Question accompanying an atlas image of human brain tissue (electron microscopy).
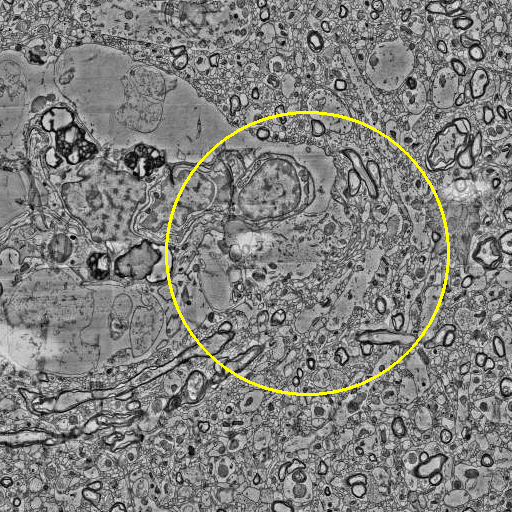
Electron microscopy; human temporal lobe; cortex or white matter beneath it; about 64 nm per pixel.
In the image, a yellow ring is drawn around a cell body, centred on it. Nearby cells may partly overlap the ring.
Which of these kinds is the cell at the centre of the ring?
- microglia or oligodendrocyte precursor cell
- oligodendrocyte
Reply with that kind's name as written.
microglia or oligodendrocyte precursor cell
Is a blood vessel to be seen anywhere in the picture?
Yes, a blood vessel can be seen.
